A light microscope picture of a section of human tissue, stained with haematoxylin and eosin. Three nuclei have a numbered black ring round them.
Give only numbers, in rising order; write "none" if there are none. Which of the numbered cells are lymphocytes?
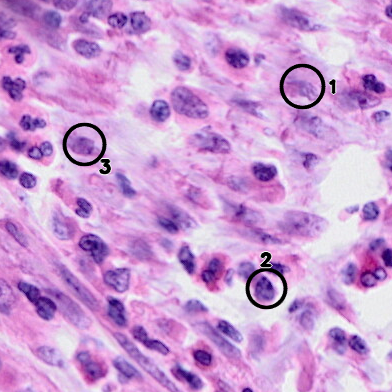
2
